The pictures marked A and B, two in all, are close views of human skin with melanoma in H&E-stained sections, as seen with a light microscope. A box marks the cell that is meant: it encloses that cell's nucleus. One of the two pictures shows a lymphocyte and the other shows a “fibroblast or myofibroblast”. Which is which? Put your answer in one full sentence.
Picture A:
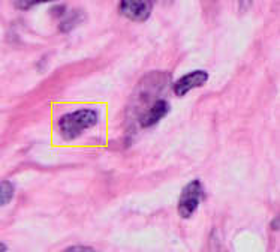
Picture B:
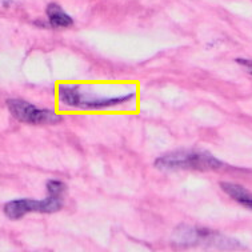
Picture A shows a lymphocyte and picture B shows a “fibroblast or myofibroblast”.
